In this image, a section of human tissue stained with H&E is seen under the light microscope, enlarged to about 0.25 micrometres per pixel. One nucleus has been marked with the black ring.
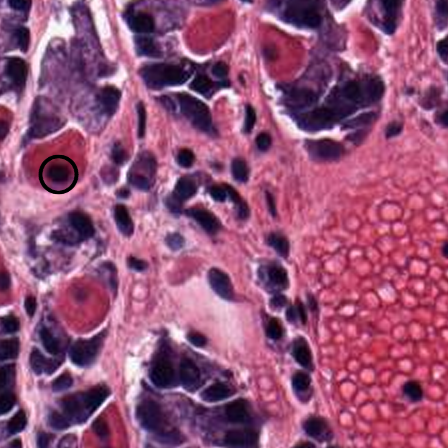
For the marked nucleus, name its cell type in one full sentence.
Within the picture, the marked nucleus belongs to a parietal cell.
